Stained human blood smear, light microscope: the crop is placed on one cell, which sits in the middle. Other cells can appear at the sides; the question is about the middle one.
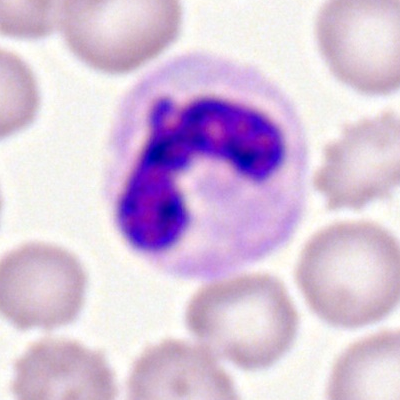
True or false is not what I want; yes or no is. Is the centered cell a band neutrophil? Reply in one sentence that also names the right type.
Yes, the central cell is to be recorded as a band neutrophil.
